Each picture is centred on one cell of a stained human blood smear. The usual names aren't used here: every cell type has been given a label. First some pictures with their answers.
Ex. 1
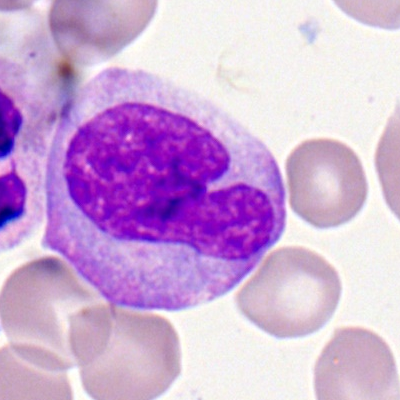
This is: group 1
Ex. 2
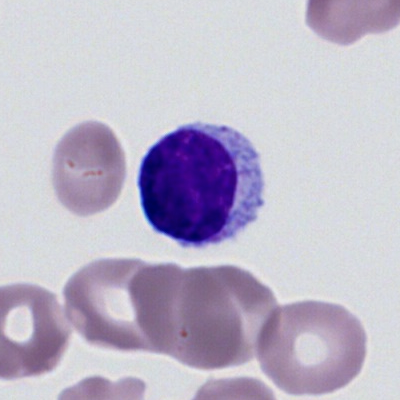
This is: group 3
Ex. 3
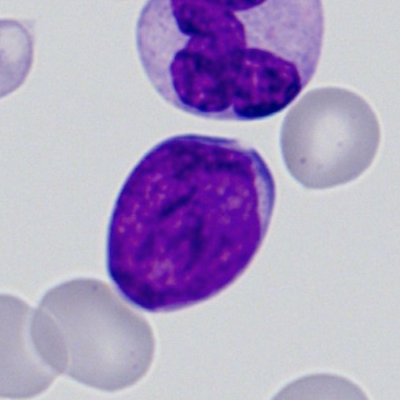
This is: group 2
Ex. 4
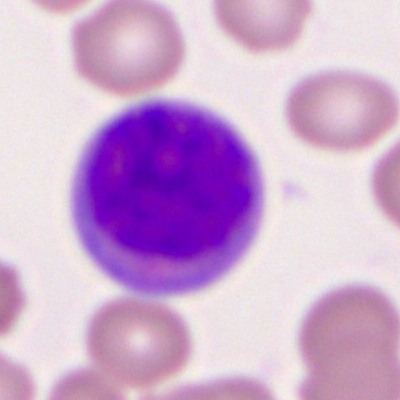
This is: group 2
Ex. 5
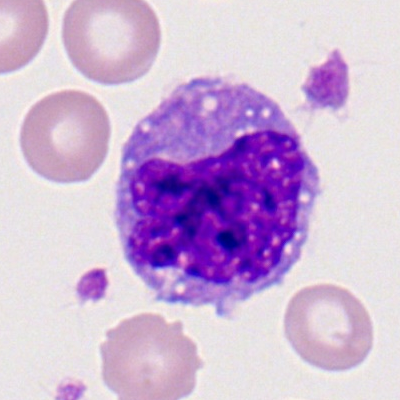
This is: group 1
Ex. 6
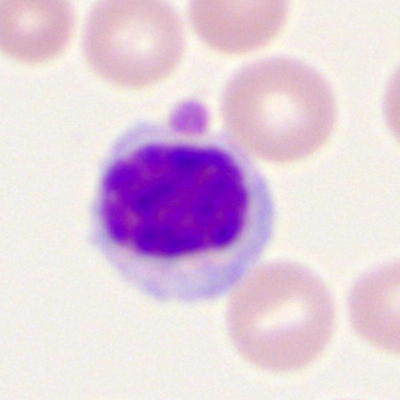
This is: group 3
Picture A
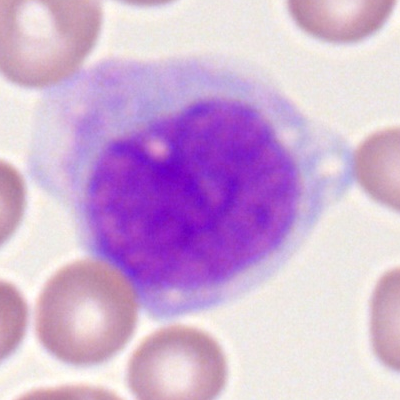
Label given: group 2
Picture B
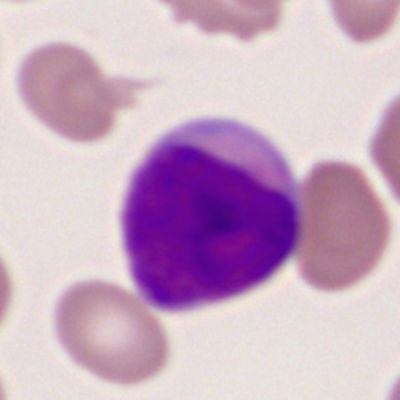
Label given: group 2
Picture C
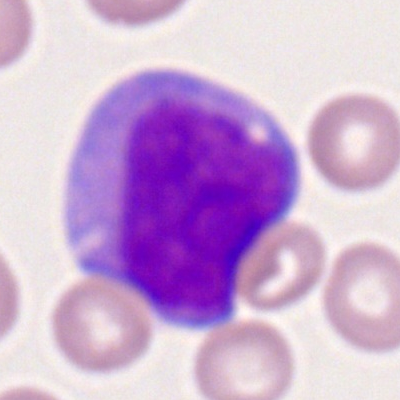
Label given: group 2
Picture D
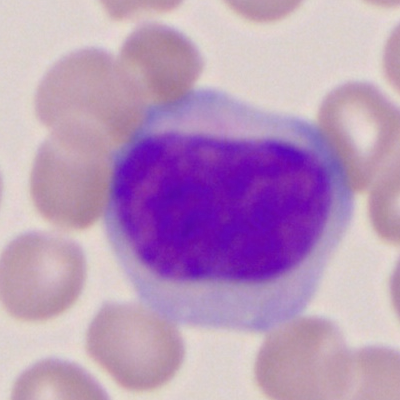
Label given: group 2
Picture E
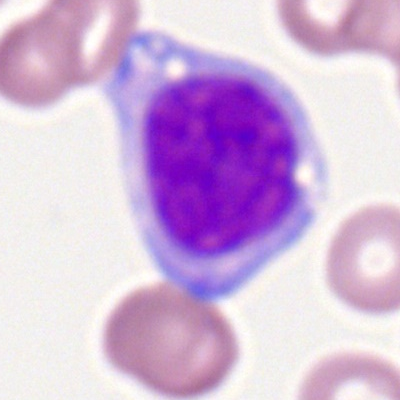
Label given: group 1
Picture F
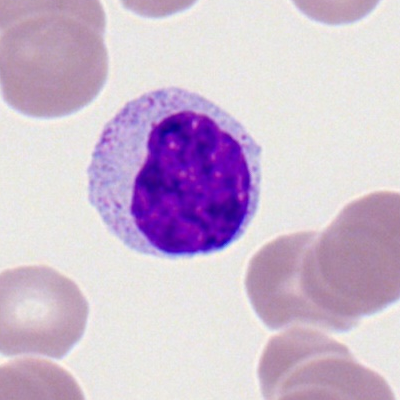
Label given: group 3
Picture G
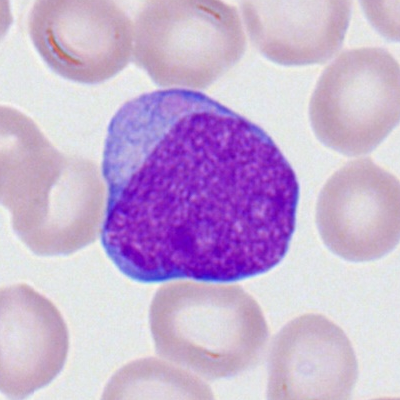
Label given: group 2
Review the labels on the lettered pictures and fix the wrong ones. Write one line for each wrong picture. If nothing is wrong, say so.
No label is wrong.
